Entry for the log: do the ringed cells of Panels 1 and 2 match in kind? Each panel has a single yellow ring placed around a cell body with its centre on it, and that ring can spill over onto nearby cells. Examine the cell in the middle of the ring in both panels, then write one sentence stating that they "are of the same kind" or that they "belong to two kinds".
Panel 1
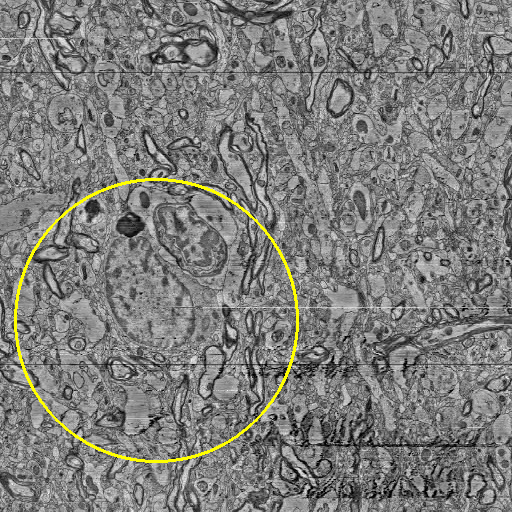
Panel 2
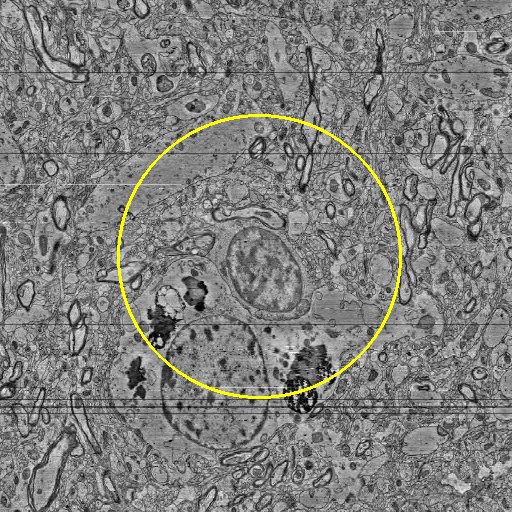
The centre cell of Panel 1's ring and that of Panel 2's ring are of the same kind.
